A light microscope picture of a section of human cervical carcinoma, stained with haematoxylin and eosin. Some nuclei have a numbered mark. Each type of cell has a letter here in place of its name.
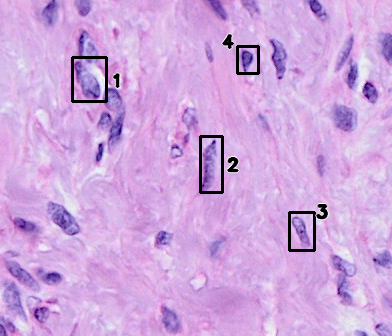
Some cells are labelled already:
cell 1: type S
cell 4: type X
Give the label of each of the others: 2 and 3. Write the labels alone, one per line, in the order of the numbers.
type X
type X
